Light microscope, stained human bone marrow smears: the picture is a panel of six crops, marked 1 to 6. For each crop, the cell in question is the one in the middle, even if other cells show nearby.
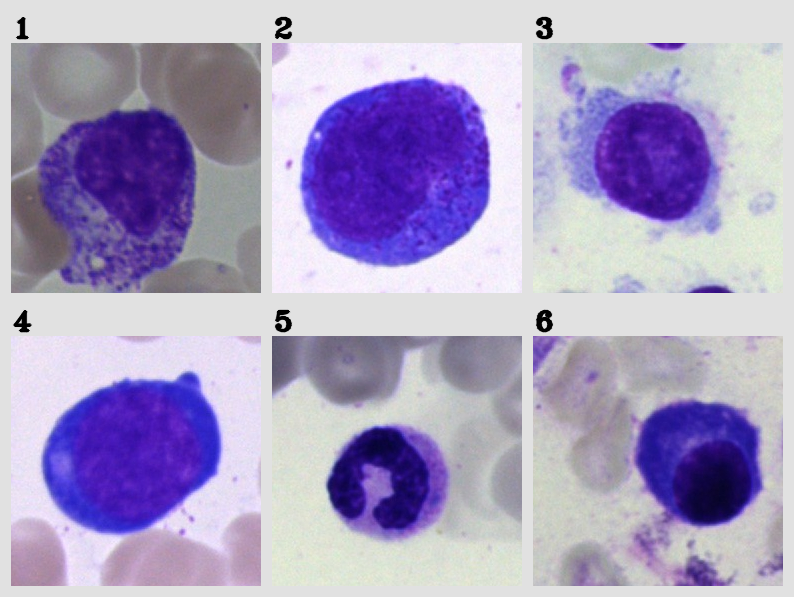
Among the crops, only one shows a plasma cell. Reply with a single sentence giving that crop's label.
Crop 6 matches the request, showing a plasma cell.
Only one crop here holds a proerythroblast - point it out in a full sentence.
Of the crops shown, crop 4 depicts a proerythroblast.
